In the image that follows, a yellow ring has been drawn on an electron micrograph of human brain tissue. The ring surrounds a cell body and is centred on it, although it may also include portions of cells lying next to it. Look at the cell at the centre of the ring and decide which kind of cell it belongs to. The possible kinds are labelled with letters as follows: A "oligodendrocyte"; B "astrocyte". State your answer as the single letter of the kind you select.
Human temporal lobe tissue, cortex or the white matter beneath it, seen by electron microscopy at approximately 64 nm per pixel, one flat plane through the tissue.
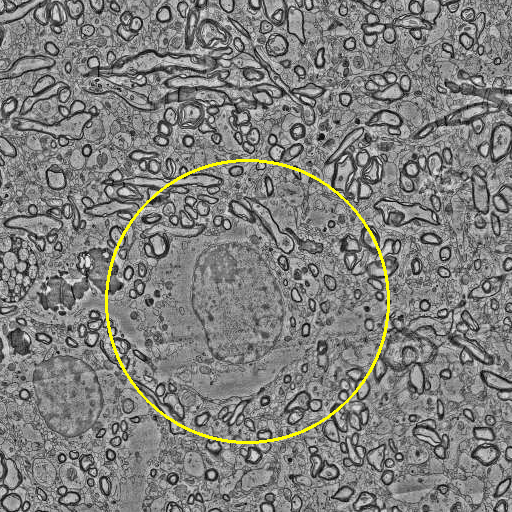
B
